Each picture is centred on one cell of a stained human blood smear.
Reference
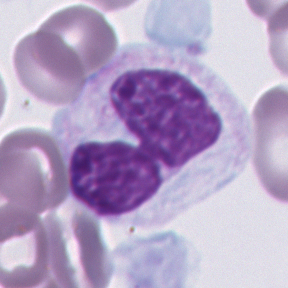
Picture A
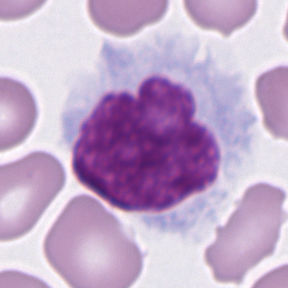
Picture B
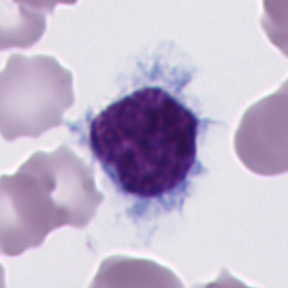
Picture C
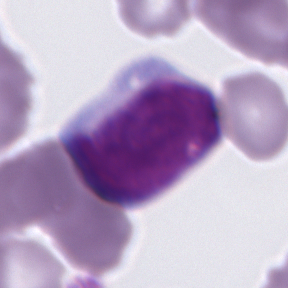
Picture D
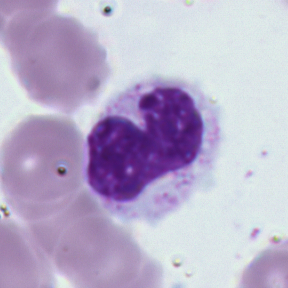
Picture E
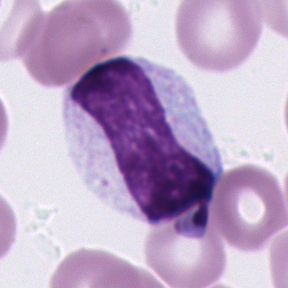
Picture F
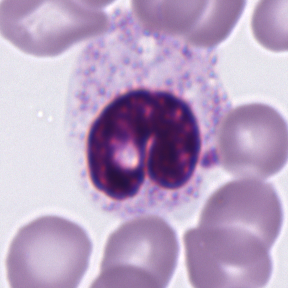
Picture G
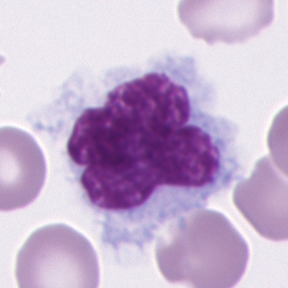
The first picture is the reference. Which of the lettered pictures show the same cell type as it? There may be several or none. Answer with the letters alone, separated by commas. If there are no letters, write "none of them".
D, E, F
